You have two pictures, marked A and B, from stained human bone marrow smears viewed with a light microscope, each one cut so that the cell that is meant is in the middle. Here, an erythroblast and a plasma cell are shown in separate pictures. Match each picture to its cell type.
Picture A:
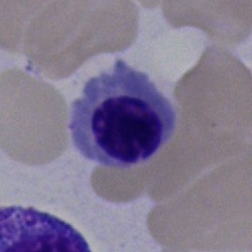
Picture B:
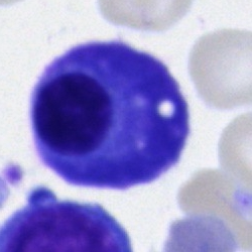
A: erythroblast
B: plasma cell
